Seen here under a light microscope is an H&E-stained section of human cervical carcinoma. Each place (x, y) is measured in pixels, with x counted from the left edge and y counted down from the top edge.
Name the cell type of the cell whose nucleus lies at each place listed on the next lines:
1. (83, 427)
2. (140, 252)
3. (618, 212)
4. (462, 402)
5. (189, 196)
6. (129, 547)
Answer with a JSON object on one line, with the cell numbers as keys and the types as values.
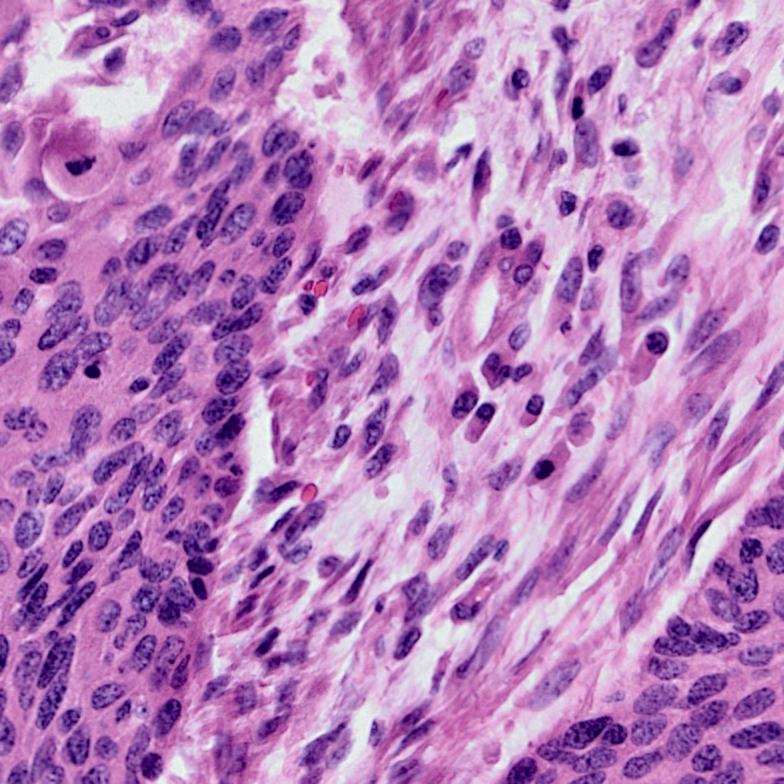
{"1": "squamous carcinoma cell", "2": "squamous carcinoma cell", "3": "macrophage or monocyte", "4": "macrophage or monocyte", "5": "squamous carcinoma cell", "6": "squamous carcinoma cell"}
